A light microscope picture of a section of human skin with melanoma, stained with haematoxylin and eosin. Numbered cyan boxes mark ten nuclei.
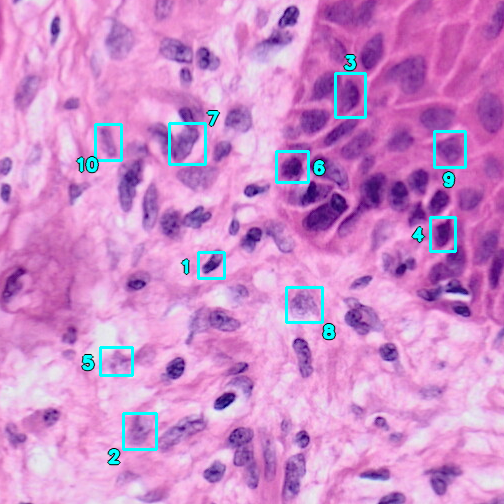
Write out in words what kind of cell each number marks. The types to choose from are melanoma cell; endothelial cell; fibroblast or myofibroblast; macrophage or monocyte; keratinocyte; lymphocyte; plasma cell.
Cell 1 is a lymphocyte, cell 2 is a fibroblast or myofibroblast, cell 3 is a keratinocyte, cell 4 is a keratinocyte, cell 5 is a fibroblast or myofibroblast, cell 6 is a keratinocyte, cell 7 is an endothelial cell, cell 8 is a fibroblast or myofibroblast, cell 9 is a keratinocyte and cell 10 is a fibroblast or myofibroblast.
